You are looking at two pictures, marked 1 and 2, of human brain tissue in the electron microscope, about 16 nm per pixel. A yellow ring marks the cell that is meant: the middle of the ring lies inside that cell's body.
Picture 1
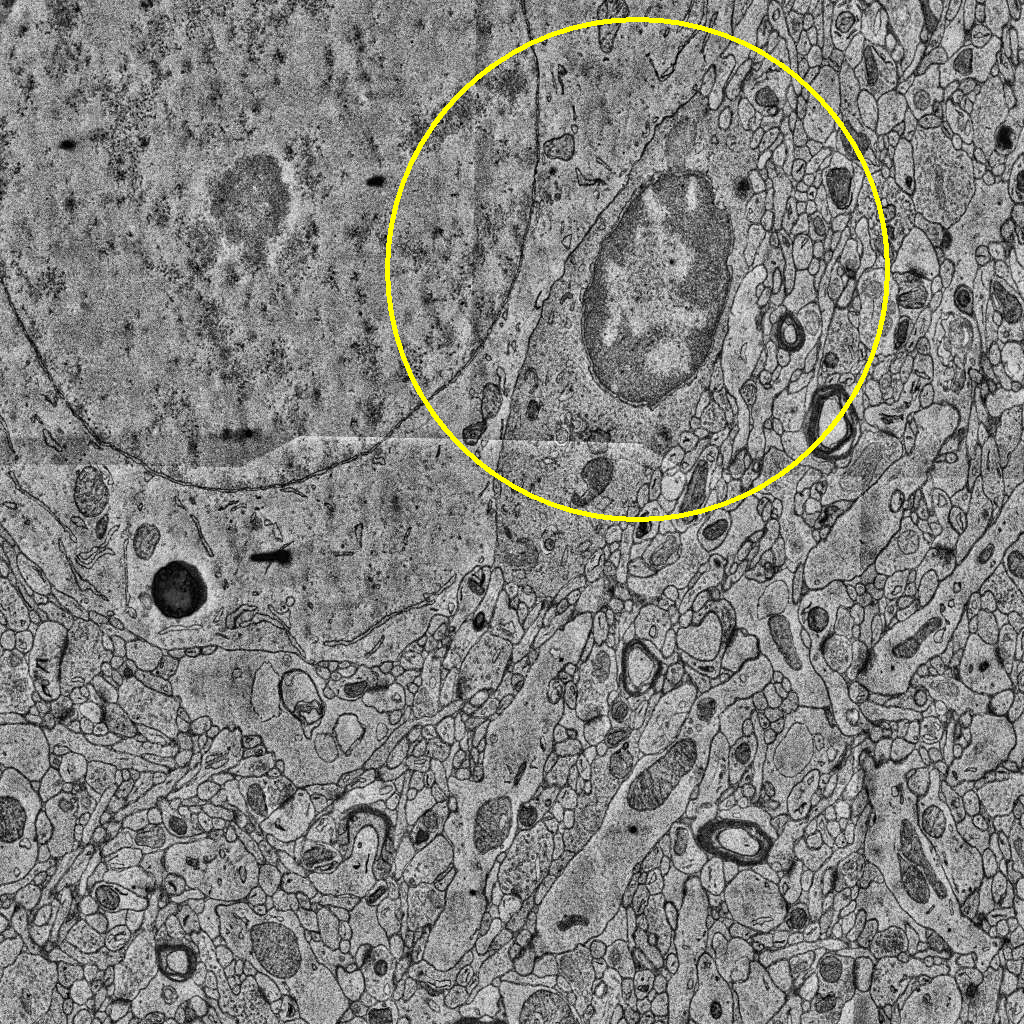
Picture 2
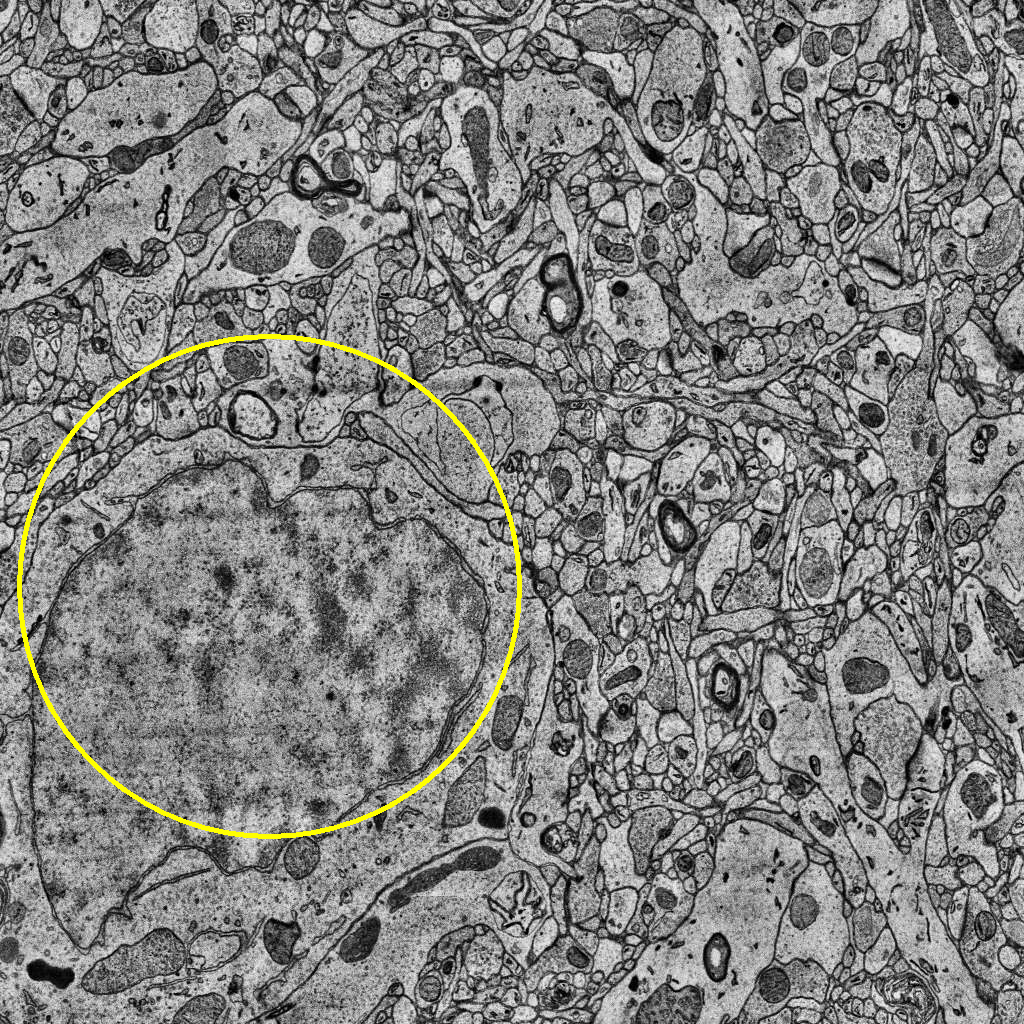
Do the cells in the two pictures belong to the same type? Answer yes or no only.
no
